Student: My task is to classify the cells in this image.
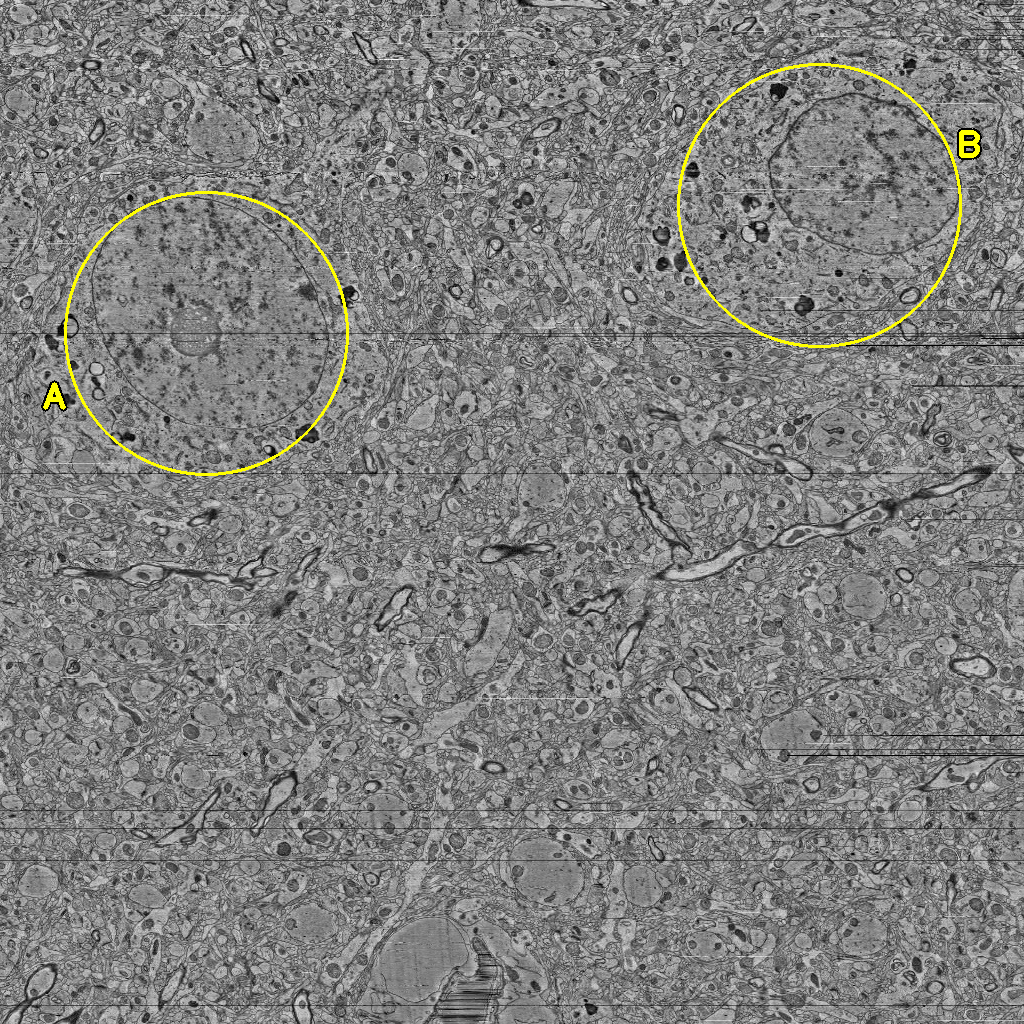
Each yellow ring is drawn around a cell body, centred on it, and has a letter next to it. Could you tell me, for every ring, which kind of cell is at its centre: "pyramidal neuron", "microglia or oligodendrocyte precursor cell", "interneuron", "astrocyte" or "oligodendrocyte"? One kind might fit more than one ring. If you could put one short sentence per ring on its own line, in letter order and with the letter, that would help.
Ring A's central cell is a pyramidal neuron.
Ring B's central cell is a pyramidal neuron.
